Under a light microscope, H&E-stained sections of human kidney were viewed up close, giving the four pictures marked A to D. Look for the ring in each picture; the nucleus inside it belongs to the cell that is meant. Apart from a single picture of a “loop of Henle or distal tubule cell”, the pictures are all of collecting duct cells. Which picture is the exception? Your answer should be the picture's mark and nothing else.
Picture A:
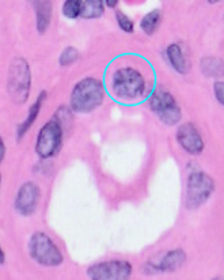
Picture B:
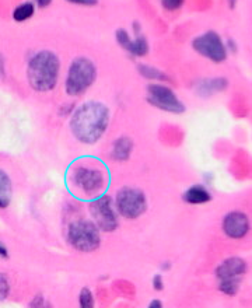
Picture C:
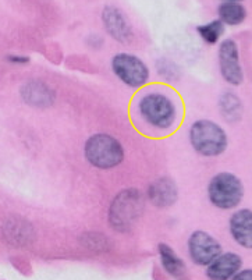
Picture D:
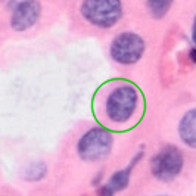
D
